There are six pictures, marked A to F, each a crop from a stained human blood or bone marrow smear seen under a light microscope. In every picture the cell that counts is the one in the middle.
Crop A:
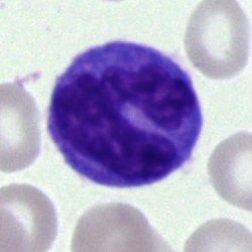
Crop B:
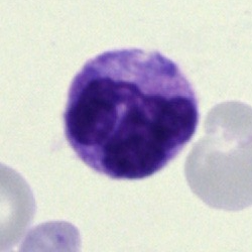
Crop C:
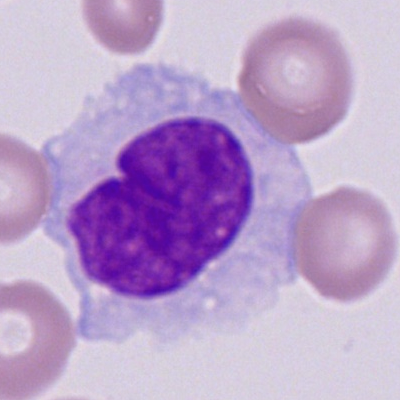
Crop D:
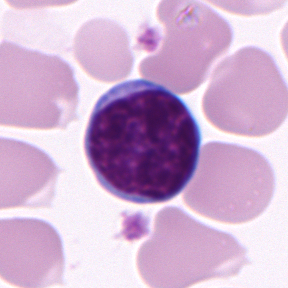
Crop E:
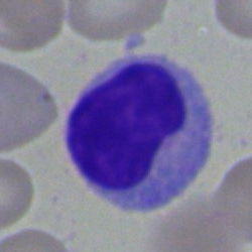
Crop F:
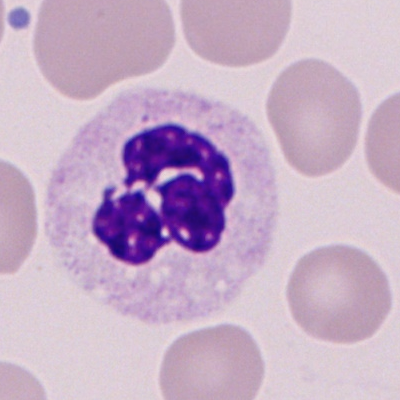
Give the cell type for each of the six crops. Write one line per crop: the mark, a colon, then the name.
A: monocyte
B: monocyte
C: monocyte
D: lymphocyte
E: monocyte
F: segmented neutrophil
